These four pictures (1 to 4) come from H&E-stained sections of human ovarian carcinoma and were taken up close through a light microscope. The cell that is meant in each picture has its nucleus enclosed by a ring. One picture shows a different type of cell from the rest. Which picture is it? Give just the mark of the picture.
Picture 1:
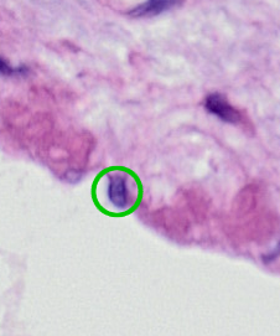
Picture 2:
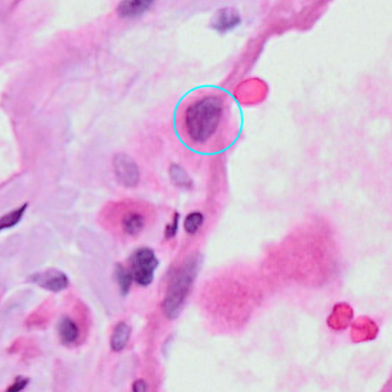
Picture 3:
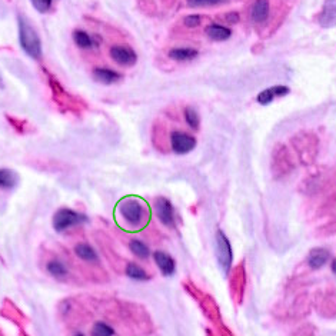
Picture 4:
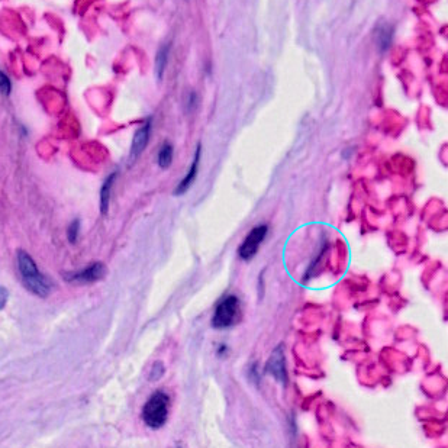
3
